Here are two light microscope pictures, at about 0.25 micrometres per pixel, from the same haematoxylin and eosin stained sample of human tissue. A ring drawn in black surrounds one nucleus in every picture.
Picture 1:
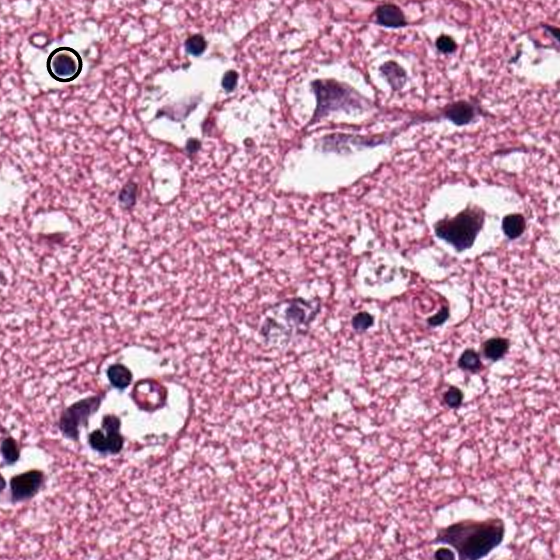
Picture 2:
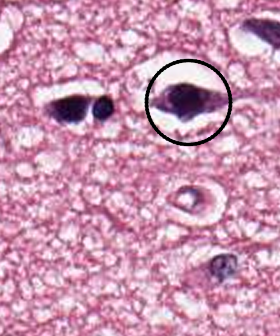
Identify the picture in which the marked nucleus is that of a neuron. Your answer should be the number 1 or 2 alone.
2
